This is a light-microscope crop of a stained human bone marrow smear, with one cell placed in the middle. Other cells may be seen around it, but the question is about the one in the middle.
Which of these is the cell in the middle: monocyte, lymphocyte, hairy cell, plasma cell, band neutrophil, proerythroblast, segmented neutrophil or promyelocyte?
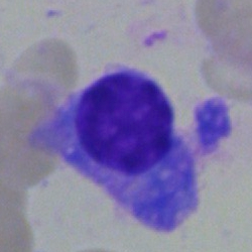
plasma cell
